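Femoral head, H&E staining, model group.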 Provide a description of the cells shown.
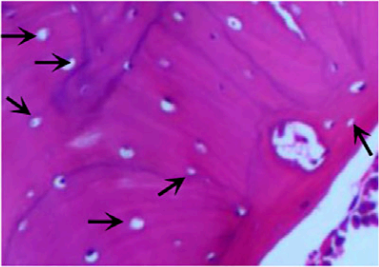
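Some other lacunae still show a small dark purple dot of a nucleus. On the right a rounded canal-like opening lies in the matrix, and at the lower right edge a few purple marrow cells are seen. Compared with healthy bone, the lacunae look rounder and emptier.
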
